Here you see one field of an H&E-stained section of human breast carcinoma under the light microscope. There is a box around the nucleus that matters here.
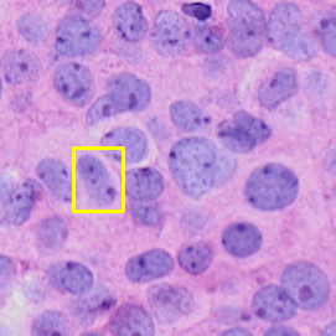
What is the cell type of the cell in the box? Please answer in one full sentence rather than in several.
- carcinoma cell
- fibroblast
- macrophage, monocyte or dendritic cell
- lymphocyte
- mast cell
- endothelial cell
In this field of tissue, the cell in the box is a carcinoma cell.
